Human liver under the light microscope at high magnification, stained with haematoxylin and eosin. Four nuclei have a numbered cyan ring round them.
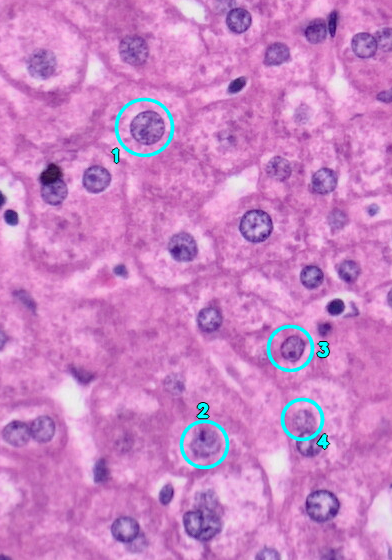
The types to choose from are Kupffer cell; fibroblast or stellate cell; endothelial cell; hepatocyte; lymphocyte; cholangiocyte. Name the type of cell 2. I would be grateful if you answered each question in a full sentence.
The label 2 in this section denotes a hepatocyte.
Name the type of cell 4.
The numeral 4 marks a cholangiocyte in this section.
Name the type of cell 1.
The mark numbered 1 indicates the nucleus of a hepatocyte.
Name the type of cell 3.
The cell pointed out as number 3 is a hepatocyte.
